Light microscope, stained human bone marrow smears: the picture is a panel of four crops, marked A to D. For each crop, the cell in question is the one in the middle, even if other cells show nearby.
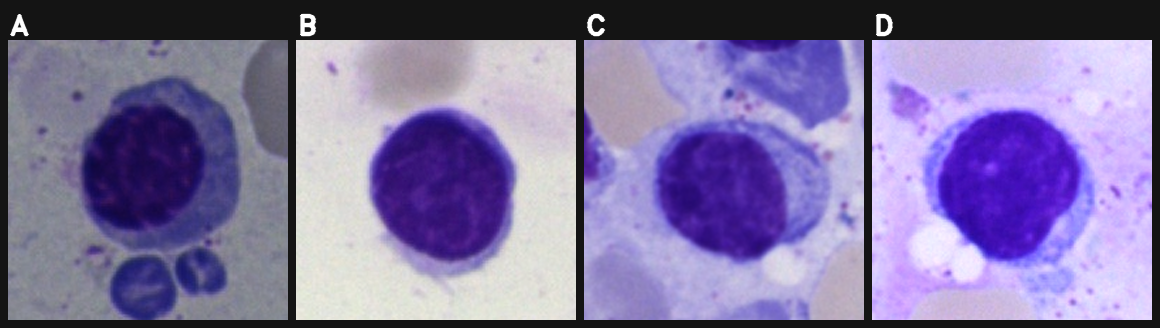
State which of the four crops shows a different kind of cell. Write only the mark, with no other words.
A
